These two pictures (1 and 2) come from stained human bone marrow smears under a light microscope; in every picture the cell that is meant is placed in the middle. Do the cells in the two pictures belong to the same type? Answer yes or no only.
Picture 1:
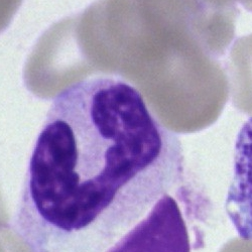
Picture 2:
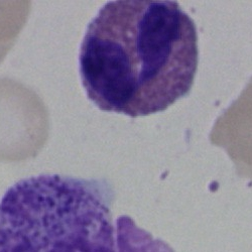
no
